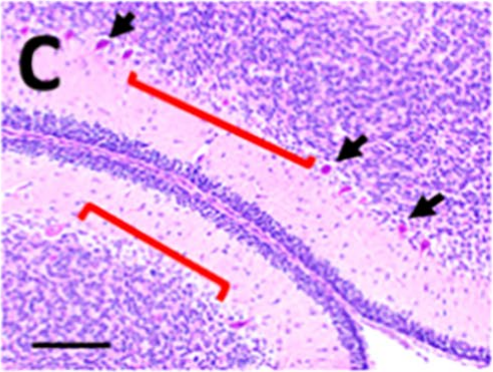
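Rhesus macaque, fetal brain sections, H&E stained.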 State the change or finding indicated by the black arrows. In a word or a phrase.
Acute Purkinje cell death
